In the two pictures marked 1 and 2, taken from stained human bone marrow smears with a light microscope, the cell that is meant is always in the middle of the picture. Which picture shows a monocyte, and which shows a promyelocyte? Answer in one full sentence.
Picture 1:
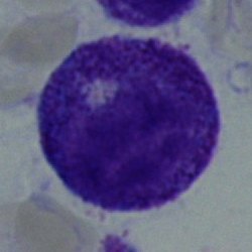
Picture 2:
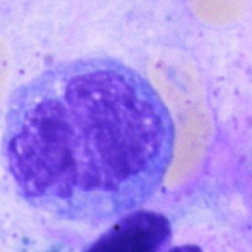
The cell in picture 1 is a promyelocyte, and the one in picture 2 is a monocyte.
